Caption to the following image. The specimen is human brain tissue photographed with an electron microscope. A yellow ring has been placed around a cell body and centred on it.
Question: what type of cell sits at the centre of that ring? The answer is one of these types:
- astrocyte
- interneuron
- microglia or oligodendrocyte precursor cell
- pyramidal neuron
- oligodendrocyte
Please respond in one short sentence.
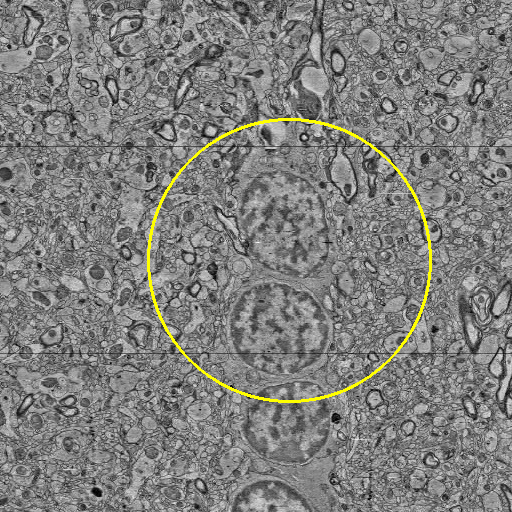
The ring surrounds the cell body of an oligodendrocyte.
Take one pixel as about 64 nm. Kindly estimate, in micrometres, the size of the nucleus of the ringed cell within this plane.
About 7 by 6 micrometers for the nucleus, in this plane.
